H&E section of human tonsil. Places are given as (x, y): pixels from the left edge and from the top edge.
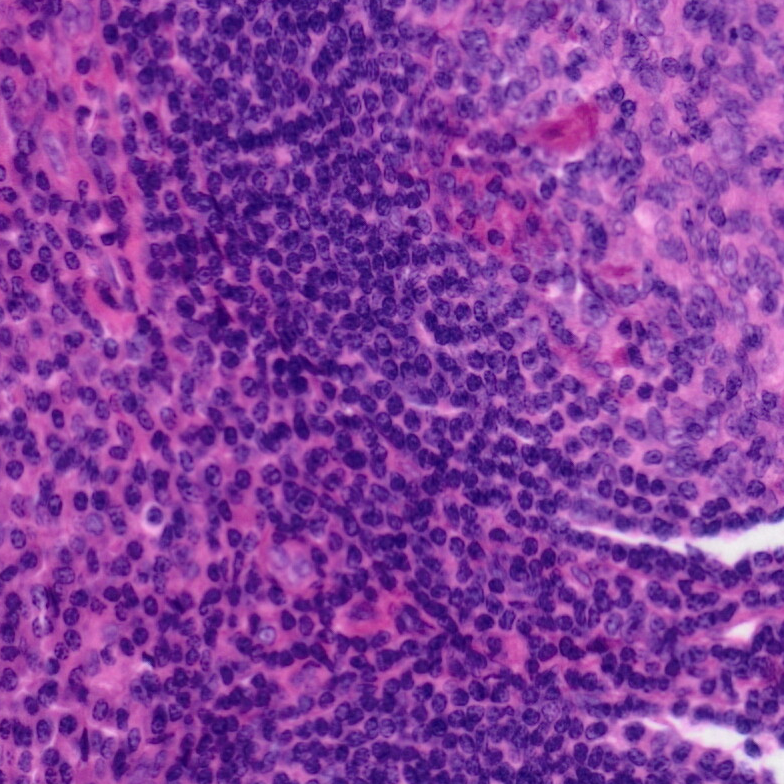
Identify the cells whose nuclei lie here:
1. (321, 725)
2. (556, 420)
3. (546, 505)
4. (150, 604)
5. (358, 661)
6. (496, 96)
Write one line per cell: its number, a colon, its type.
1: small lymphocyte
2: small lymphocyte
3: small lymphocyte
4: plasma cell
5: small lymphocyte
6: proliferating B cell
